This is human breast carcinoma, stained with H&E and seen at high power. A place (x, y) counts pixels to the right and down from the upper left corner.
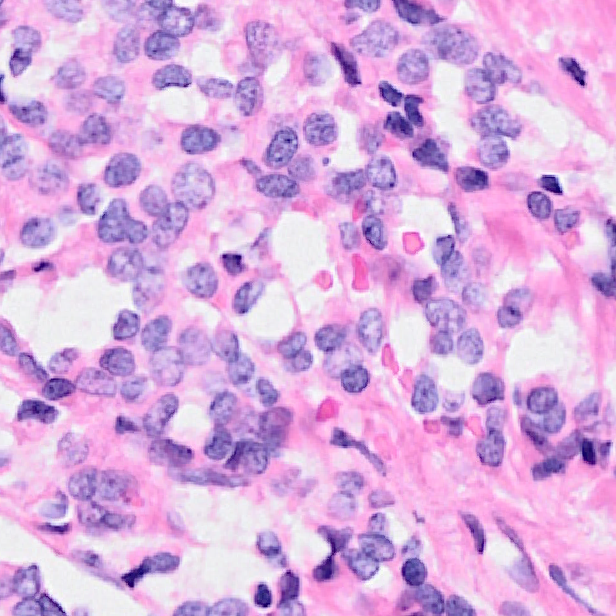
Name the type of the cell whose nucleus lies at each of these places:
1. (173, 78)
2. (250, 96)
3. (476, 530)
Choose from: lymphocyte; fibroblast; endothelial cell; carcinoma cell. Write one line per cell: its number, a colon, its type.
1: carcinoma cell
2: carcinoma cell
3: endothelial cell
